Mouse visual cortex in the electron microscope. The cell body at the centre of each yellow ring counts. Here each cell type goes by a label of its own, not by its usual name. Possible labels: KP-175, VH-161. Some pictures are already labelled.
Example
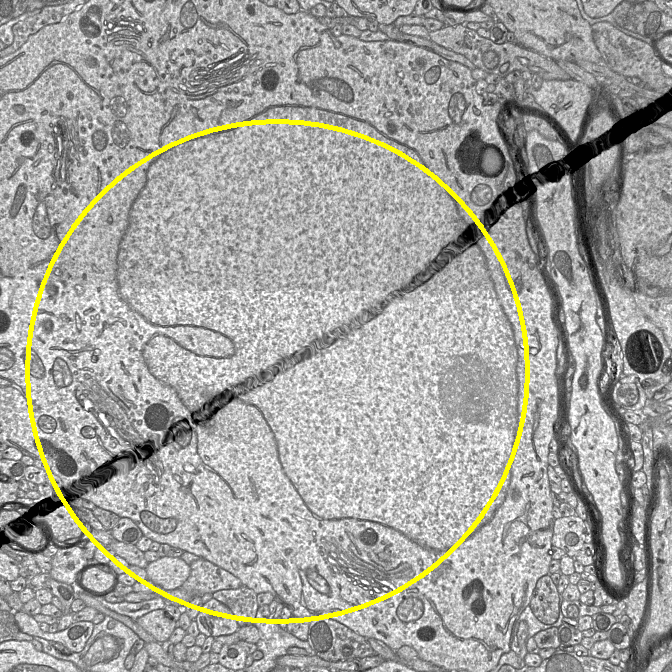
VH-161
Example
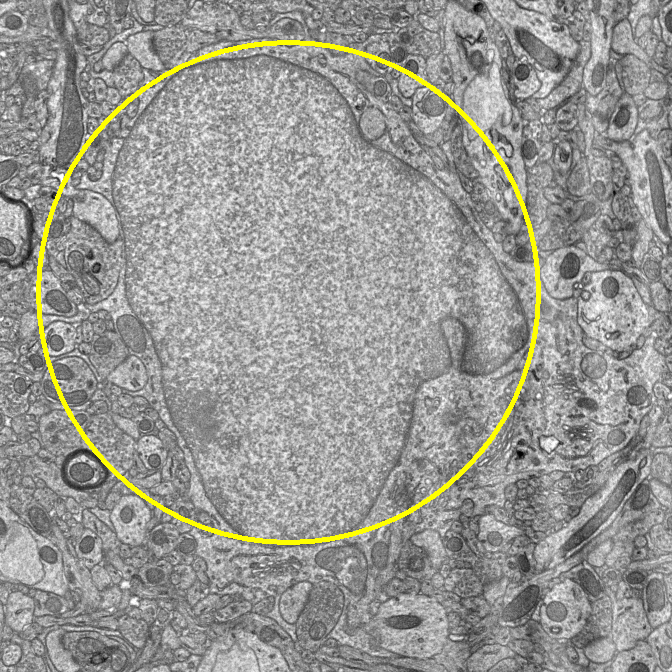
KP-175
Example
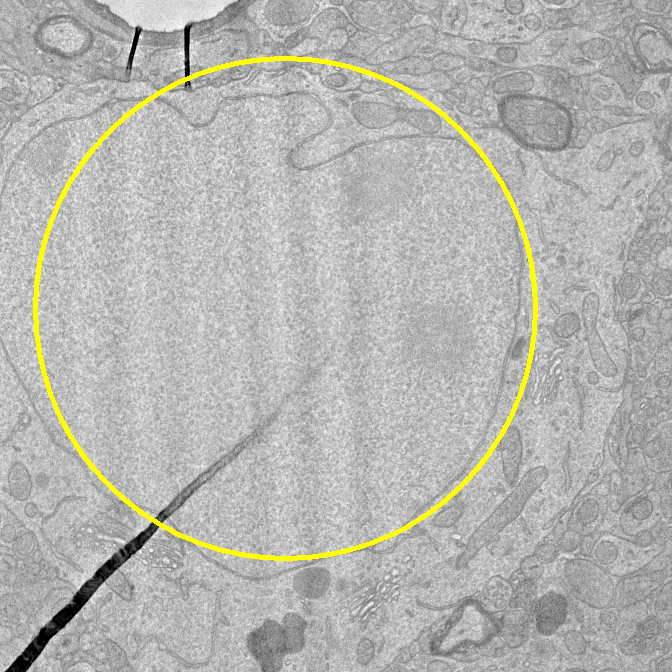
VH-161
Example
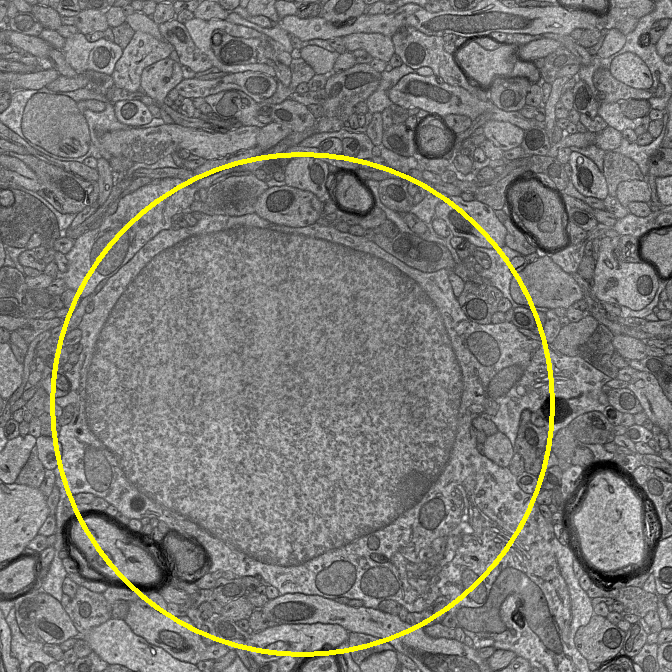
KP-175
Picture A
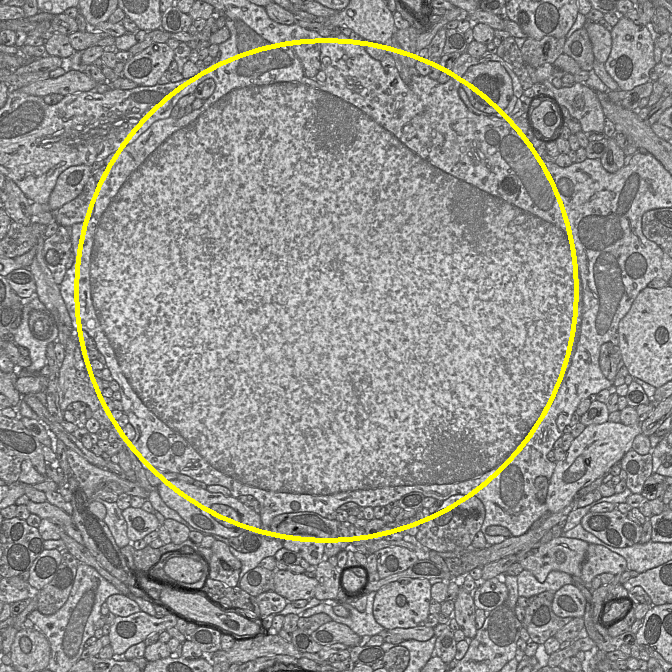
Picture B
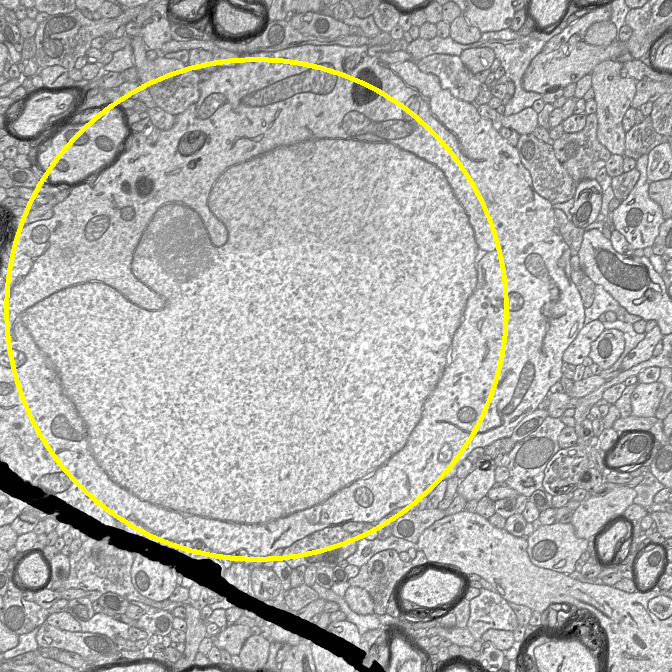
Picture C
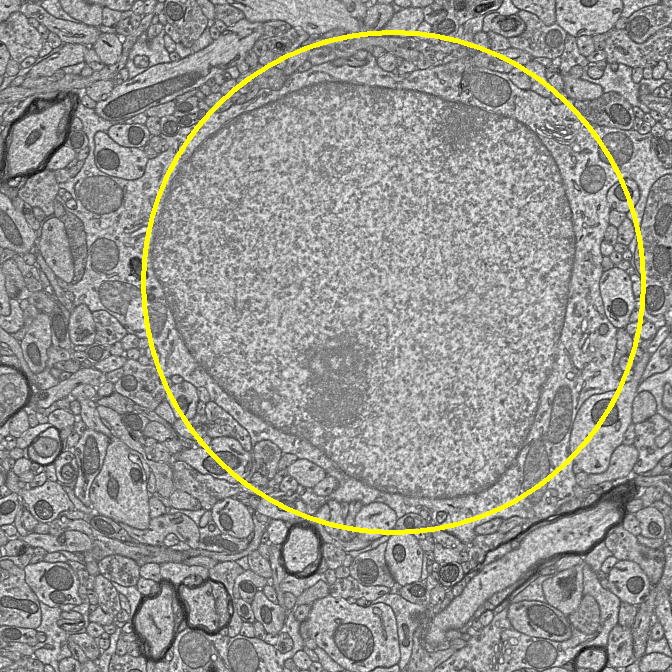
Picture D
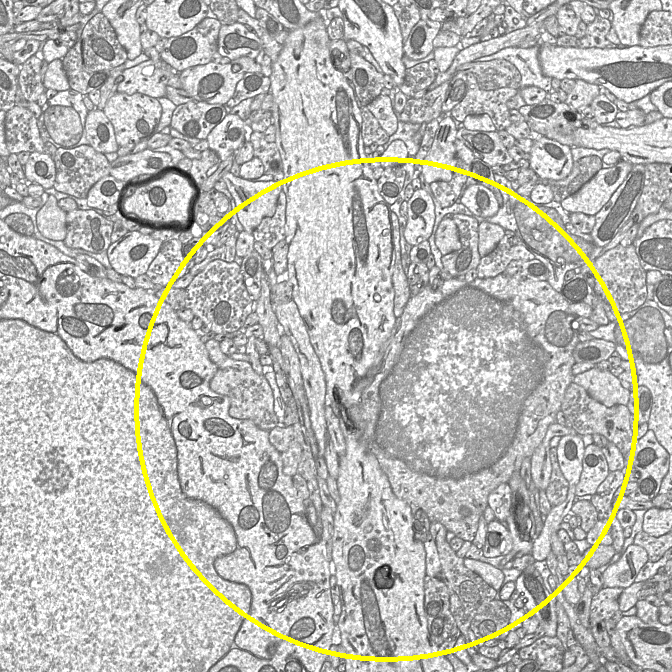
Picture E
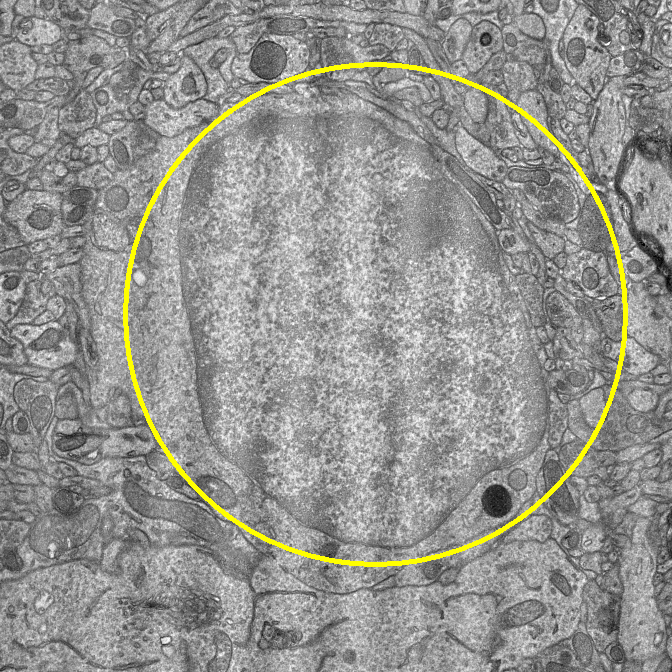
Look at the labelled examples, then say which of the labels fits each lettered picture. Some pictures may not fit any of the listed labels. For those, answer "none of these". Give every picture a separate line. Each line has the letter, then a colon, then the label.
A: KP-175
B: VH-161
C: KP-175
D: none of these
E: none of these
